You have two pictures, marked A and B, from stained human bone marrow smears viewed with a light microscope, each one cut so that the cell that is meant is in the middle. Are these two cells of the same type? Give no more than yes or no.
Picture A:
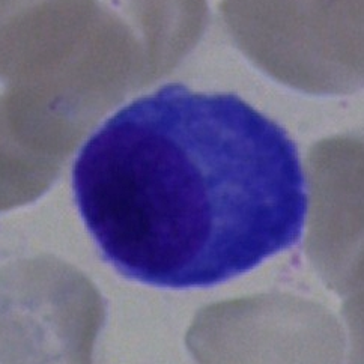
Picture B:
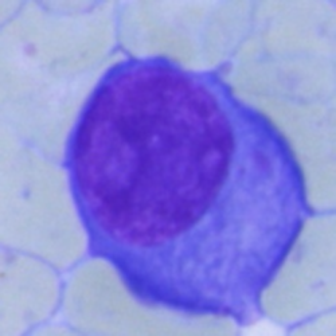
yes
